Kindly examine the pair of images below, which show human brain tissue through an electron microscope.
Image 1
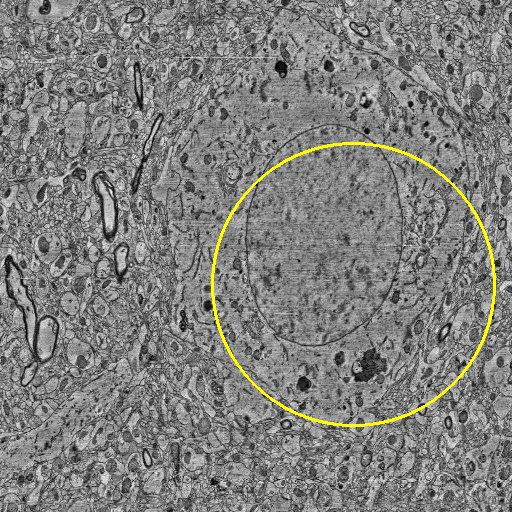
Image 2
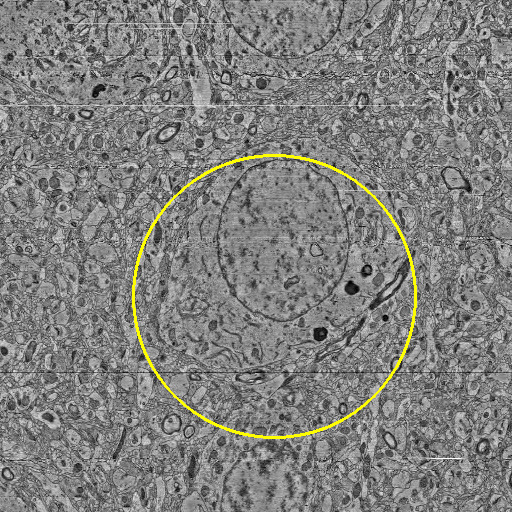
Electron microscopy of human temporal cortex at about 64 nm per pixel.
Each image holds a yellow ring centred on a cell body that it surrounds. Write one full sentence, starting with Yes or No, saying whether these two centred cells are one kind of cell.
Yes, both cells at the centres of the yellow rings belong to one kind of cell.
